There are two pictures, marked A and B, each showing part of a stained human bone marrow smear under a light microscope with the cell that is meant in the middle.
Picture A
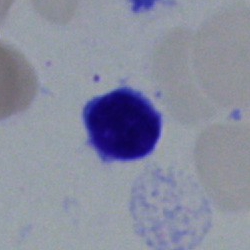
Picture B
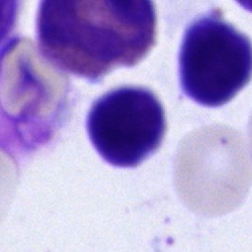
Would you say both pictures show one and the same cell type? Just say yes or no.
yes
